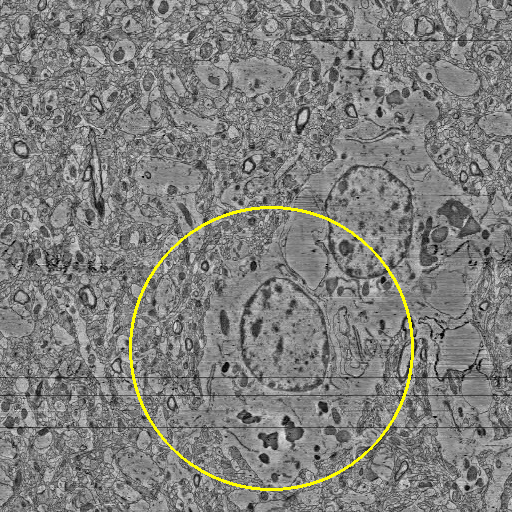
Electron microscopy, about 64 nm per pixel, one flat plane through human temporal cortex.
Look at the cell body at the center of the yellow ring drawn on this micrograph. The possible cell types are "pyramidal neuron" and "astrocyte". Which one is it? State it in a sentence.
The cell in the middle of the ring is an astrocyte.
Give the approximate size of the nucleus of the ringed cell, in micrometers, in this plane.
The nucleus of the ringed cell is approximately 8 by 6 micrometres in this plane.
